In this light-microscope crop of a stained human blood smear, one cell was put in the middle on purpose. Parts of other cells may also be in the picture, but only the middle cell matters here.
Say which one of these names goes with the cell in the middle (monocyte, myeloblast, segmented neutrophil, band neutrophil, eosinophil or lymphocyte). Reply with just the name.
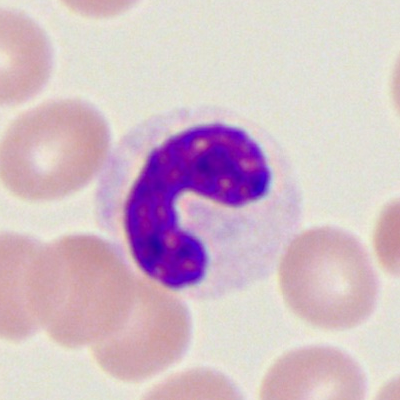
band neutrophil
